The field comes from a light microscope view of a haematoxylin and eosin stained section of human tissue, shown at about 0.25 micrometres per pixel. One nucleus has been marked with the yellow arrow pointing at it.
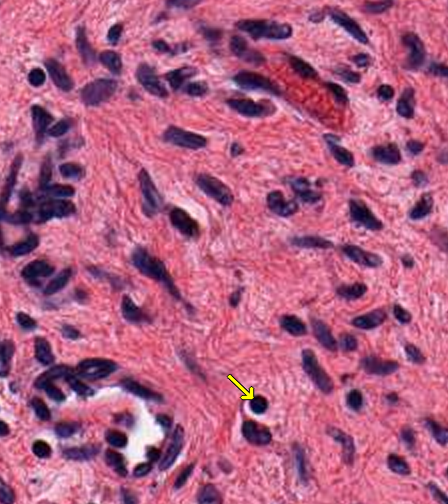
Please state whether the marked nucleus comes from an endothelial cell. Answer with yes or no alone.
no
